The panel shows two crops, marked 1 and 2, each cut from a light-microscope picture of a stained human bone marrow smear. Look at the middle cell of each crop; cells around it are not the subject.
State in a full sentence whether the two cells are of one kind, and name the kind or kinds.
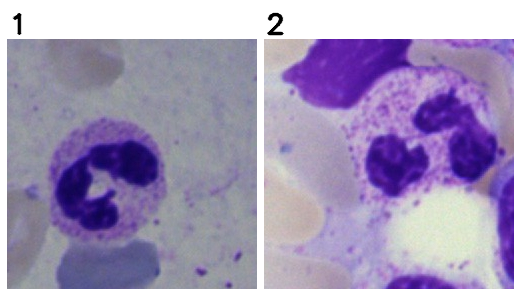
Yes, both the first crop and the second crop show segmented neutrophils.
